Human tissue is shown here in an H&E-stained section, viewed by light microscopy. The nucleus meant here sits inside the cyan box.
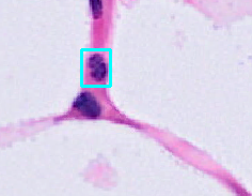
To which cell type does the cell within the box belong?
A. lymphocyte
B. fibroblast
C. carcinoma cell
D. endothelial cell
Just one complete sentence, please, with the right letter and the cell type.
As stated in option D, the cell within the box is an endothelial cell.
